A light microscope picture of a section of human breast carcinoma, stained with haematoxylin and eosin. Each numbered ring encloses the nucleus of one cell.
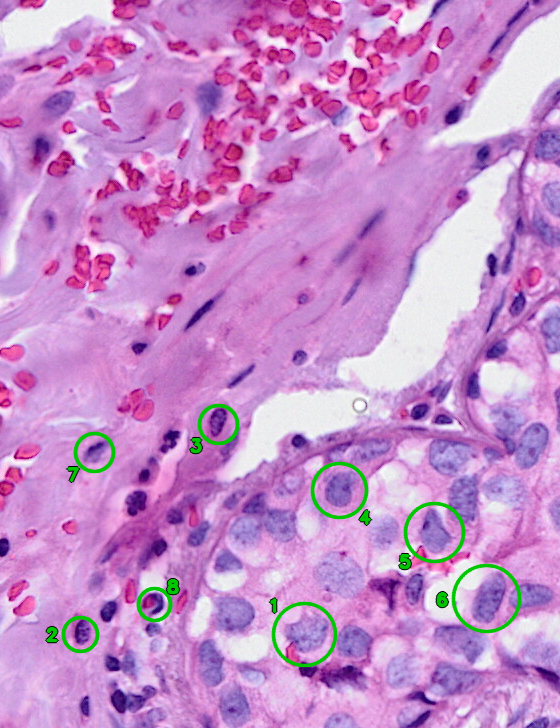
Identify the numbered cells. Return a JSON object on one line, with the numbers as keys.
{"1": "carcinoma cell", "2": "mast cell", "3": "mast cell", "4": "carcinoma cell", "5": "carcinoma cell", "6": "carcinoma cell", "7": "fibroblast", "8": "endothelial cell"}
